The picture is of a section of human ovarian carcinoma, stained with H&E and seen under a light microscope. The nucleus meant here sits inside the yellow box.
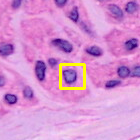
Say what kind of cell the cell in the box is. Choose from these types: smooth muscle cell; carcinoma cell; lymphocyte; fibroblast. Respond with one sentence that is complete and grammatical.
In the context of this tissue, the cell in the box is a smooth muscle cell.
